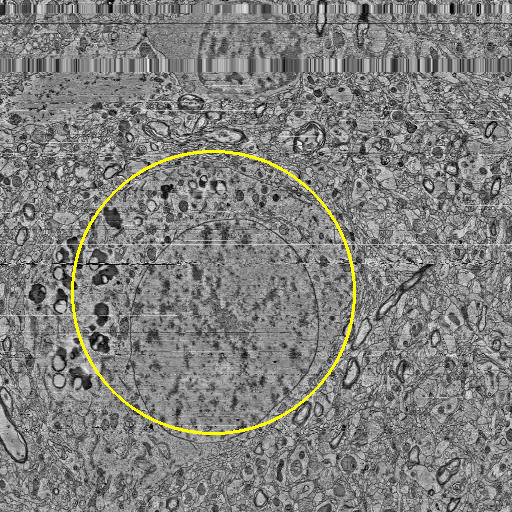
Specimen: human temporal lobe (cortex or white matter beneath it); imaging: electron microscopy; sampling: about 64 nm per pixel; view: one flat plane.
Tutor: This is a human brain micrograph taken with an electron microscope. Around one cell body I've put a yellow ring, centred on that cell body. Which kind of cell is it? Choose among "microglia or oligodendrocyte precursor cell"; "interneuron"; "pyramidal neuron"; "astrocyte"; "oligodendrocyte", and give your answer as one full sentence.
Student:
Going by your list, the cell centred in the yellow ring is a pyramidal neuron.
